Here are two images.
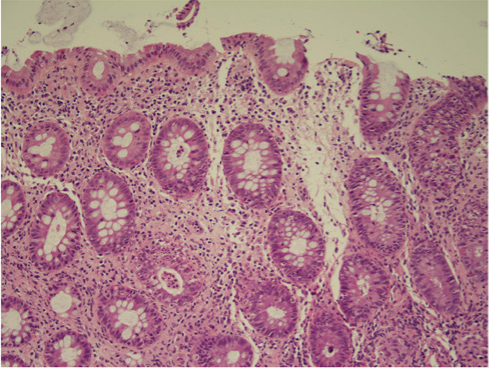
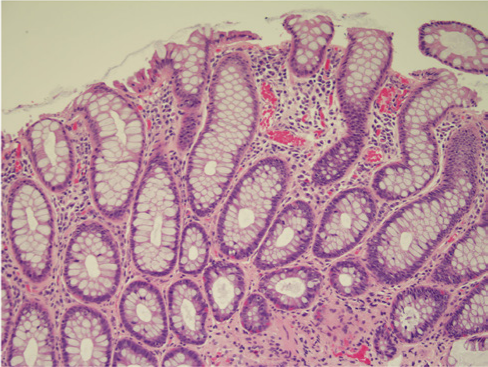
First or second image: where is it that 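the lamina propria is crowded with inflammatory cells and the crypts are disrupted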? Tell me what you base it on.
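First image: dense small dark nuclei fill the stroma and crypts are irregularly spaced and shaped.
Conclusion: the first image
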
